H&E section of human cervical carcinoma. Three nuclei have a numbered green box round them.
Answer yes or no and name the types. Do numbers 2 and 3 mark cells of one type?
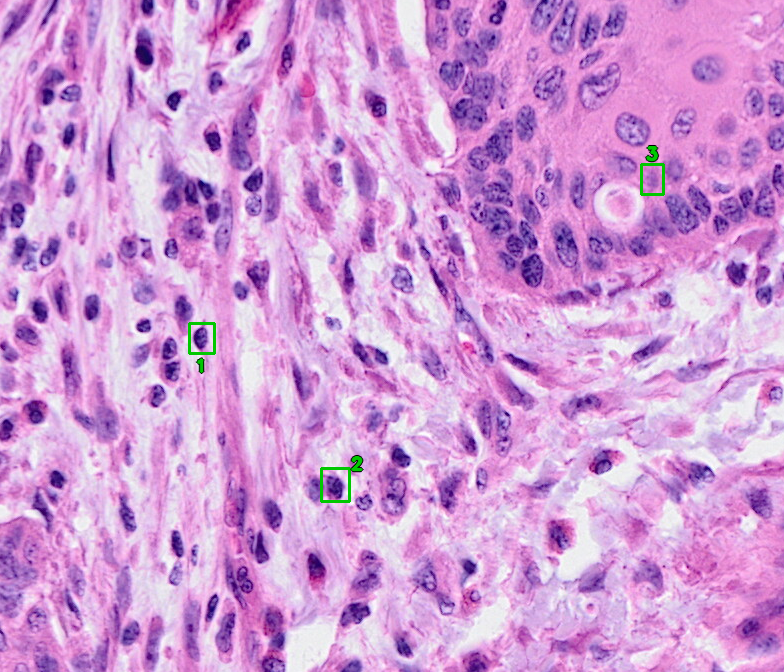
No, cell 2 is a lymphocyte and cell 3 is a squamous carcinoma cell.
